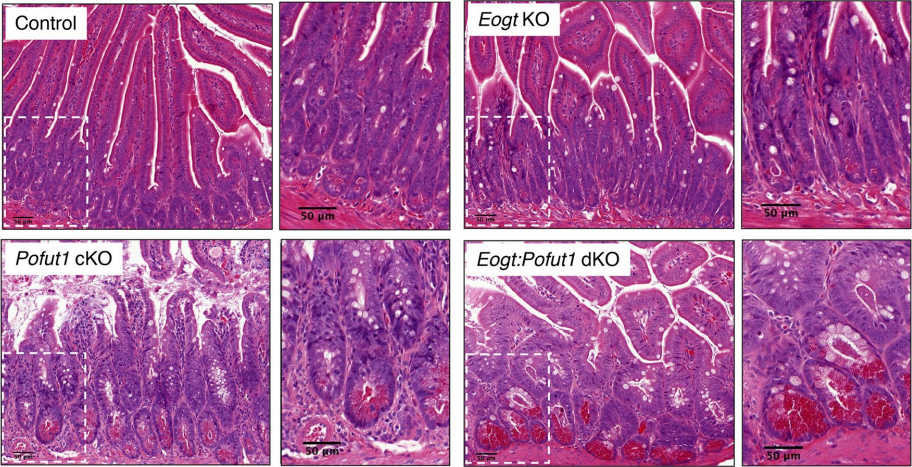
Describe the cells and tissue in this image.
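These are sections of small intestinal mucosa with villi lined by purple-staining columnar epithelium and crypts at the base above a pink muscle layer. Goblet cells appear as pale, clear vacuoles among the epithelial cells, and Paneth cells sit at the bottom of the crypts with bright red cytoplasmic granules. In the lower sections the crypts are enlarged and distorted, and the red granule-filled cells form large clusters at the crypt bases.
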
